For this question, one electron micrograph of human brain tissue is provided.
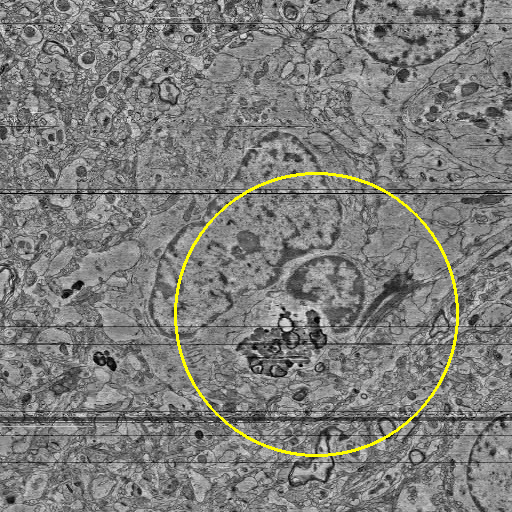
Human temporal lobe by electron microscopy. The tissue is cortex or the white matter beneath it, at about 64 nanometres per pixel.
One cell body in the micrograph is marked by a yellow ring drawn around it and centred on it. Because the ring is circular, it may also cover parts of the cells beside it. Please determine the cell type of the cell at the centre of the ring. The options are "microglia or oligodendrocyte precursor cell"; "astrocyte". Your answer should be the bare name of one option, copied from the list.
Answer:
microglia or oligodendrocyte precursor cell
